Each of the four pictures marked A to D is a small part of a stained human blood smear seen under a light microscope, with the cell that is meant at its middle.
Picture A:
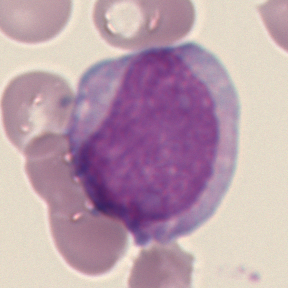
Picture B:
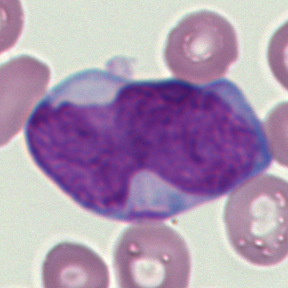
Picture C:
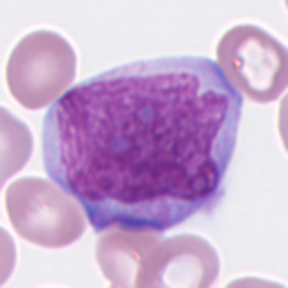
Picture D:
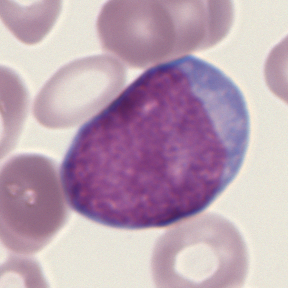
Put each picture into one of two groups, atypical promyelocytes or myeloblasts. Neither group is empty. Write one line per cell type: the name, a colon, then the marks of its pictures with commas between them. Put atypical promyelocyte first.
atypical promyelocyte: A, B, C
myeloblast: D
